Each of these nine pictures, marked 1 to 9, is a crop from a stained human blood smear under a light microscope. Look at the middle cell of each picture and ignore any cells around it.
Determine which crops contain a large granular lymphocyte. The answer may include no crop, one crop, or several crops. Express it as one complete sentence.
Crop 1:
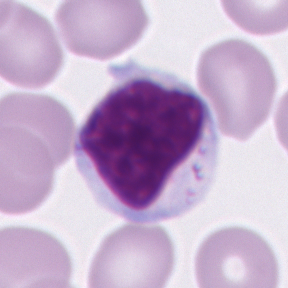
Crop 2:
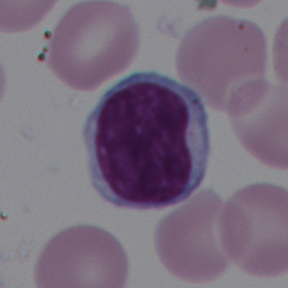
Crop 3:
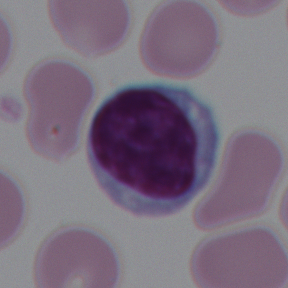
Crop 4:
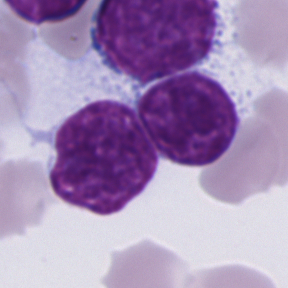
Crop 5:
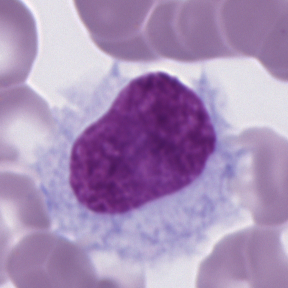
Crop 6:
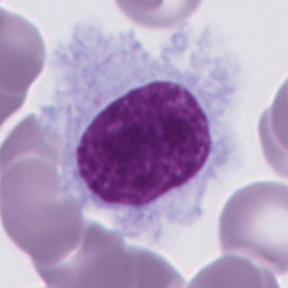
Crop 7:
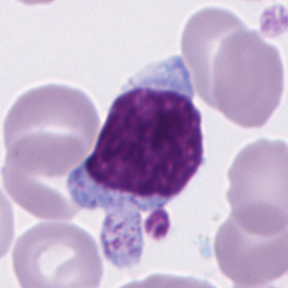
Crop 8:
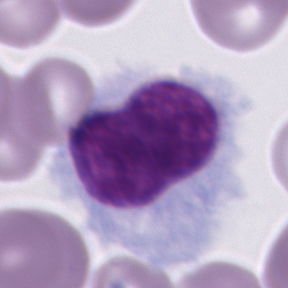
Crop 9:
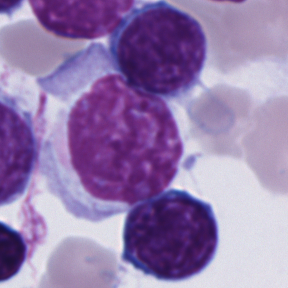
The cells in the middle of crops 1 and 7 count as large granular lymphocytes.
